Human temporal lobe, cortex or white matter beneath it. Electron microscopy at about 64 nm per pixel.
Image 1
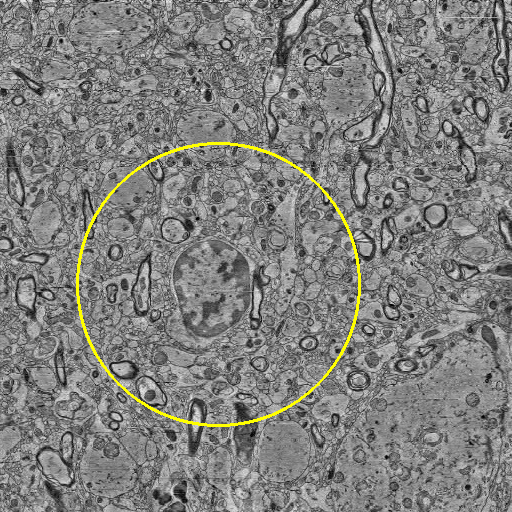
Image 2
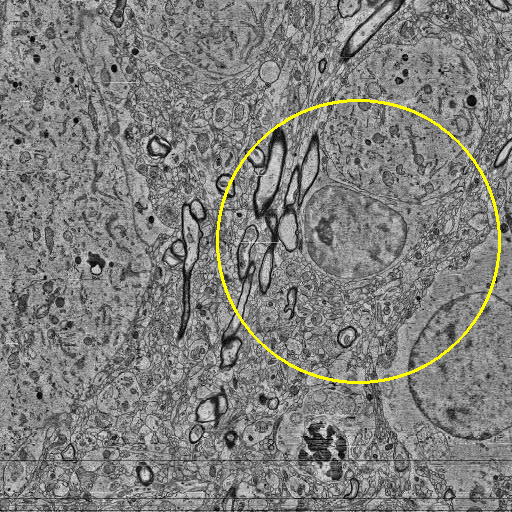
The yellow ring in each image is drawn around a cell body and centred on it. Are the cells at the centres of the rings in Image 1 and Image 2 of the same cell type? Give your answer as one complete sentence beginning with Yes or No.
No, the two cells are of two separate types.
